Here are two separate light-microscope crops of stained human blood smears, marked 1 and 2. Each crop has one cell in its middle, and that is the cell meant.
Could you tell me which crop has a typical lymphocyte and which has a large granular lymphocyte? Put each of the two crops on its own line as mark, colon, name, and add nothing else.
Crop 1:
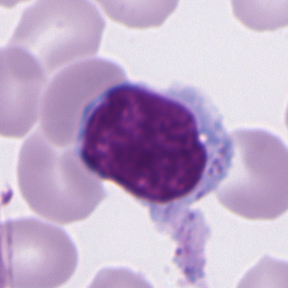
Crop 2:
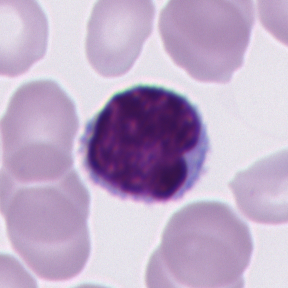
1: large granular lymphocyte
2: typical lymphocyte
